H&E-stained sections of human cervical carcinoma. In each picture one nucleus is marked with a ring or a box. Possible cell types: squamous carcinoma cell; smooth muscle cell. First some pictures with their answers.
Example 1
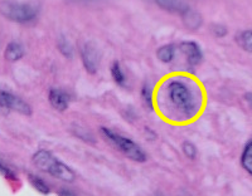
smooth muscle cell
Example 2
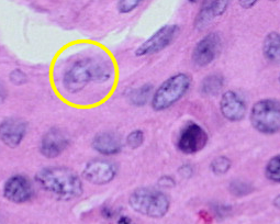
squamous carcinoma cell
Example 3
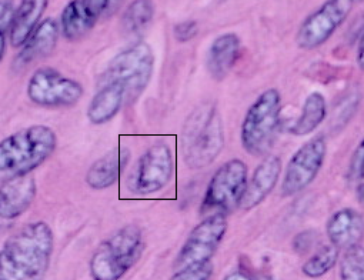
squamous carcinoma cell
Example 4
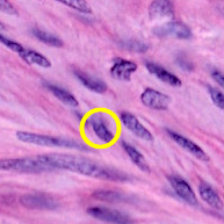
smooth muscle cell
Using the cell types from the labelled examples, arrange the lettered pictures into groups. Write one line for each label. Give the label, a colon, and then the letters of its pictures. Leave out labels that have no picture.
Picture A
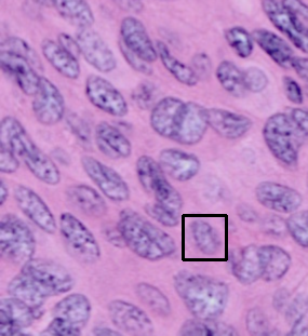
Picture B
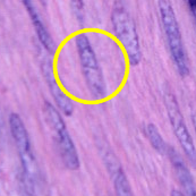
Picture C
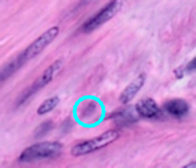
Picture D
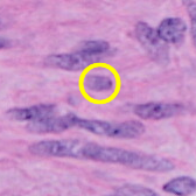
squamous carcinoma cell: A
smooth muscle cell: B, C, D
